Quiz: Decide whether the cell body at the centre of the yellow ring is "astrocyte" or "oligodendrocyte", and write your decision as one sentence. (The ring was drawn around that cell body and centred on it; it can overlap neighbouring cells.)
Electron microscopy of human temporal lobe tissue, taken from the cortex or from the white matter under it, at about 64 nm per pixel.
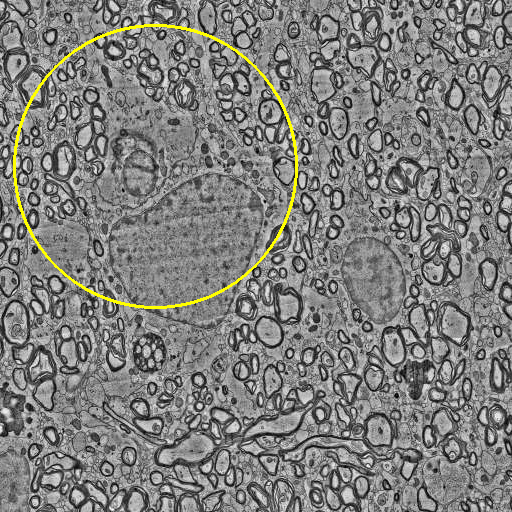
The cell the ring is centred on is an astrocyte.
